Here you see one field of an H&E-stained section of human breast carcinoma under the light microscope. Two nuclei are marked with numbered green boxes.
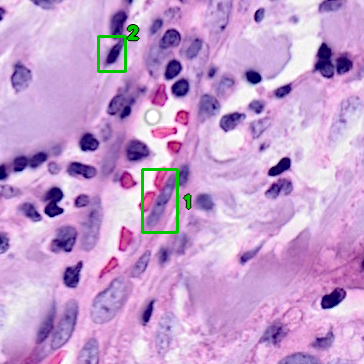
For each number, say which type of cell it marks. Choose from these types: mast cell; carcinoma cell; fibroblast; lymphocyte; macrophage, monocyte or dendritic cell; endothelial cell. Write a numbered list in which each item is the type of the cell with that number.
1. endothelial cell
2. lymphocyte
